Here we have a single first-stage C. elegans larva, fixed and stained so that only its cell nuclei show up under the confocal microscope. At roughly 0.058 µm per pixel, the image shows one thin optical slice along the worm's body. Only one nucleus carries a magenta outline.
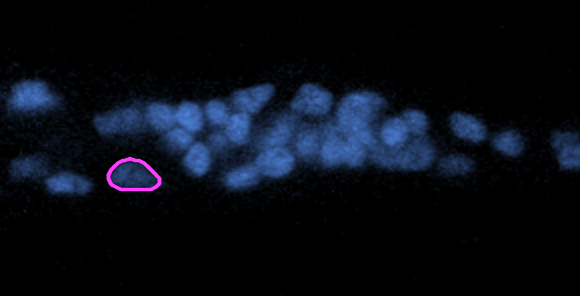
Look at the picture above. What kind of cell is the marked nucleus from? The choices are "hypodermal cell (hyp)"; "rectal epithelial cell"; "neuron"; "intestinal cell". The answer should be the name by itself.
intestinal cell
